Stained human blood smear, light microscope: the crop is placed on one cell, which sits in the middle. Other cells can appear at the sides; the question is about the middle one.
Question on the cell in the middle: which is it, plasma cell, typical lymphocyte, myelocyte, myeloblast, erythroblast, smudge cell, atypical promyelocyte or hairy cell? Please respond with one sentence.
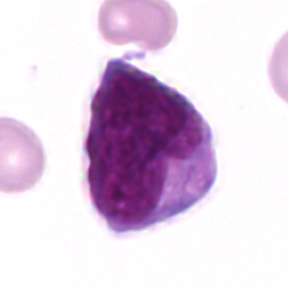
As for the central cell, it is an atypical promyelocyte.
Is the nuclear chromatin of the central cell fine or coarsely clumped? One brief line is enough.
In this nucleus, the chromatin is arranged in coarse clumps.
